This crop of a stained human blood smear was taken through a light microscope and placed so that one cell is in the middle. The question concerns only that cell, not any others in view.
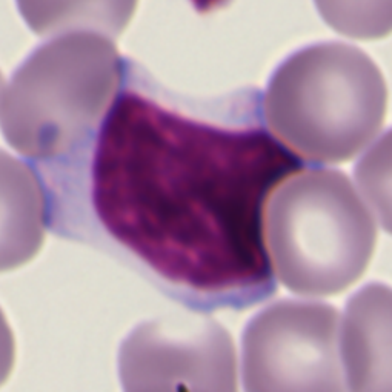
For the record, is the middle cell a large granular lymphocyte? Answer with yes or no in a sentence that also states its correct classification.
No, sorry, the middle cell is a typical lymphocyte rather than a large granular lymphocyte.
